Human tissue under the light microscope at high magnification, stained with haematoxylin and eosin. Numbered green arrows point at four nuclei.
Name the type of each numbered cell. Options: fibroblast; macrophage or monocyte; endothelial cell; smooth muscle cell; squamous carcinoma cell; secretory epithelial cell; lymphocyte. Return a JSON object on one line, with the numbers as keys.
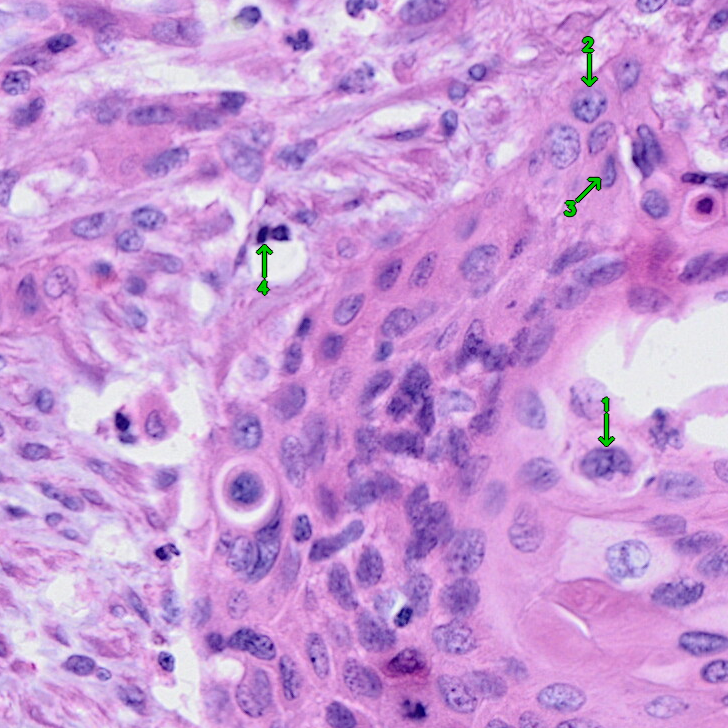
{"1": "squamous carcinoma cell", "2": "squamous carcinoma cell", "3": "squamous carcinoma cell", "4": "lymphocyte"}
